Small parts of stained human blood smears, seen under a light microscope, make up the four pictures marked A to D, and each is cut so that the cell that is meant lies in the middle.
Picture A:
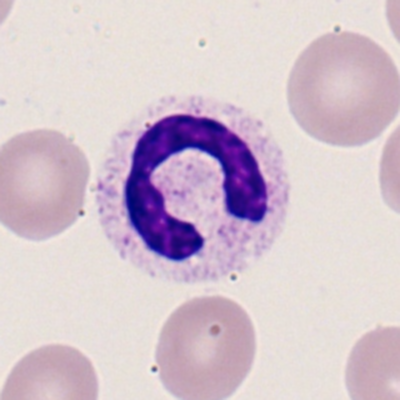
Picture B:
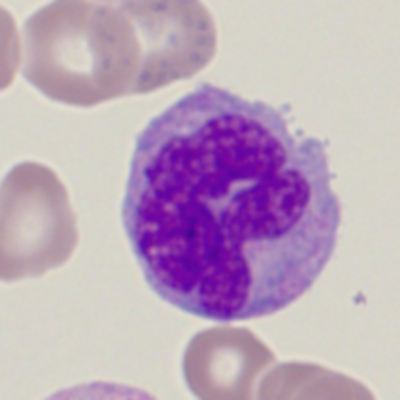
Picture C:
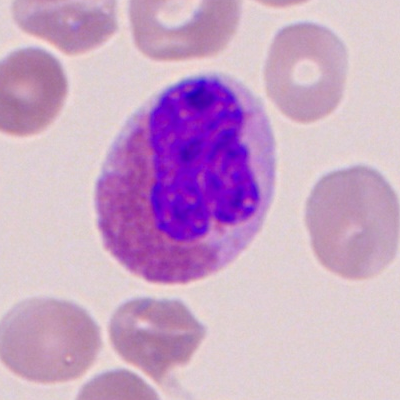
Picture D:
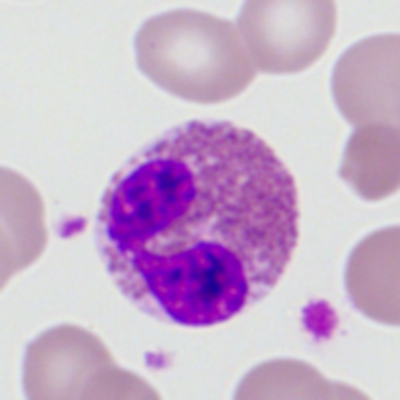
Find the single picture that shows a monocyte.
B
